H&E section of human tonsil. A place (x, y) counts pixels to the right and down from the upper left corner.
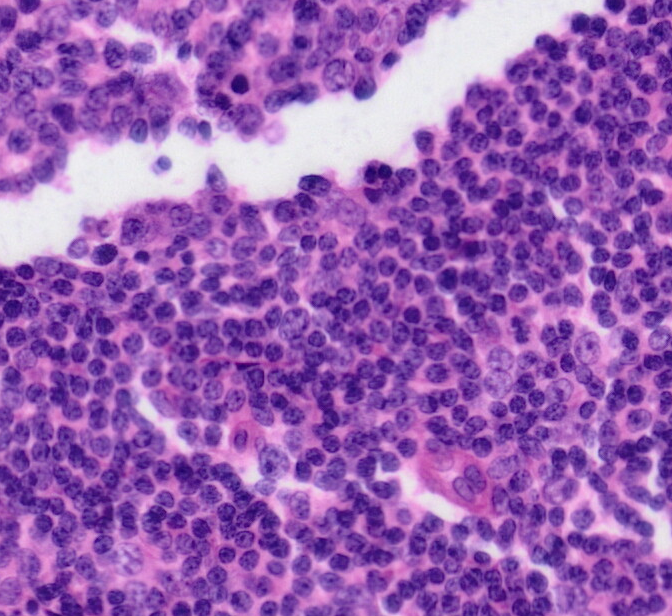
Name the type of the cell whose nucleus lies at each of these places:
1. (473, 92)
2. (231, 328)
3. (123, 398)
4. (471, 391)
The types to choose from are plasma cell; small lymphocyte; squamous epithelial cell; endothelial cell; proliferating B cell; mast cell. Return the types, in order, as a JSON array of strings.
["proliferating B cell", "small lymphocyte", "small lymphocyte", "small lymphocyte"]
